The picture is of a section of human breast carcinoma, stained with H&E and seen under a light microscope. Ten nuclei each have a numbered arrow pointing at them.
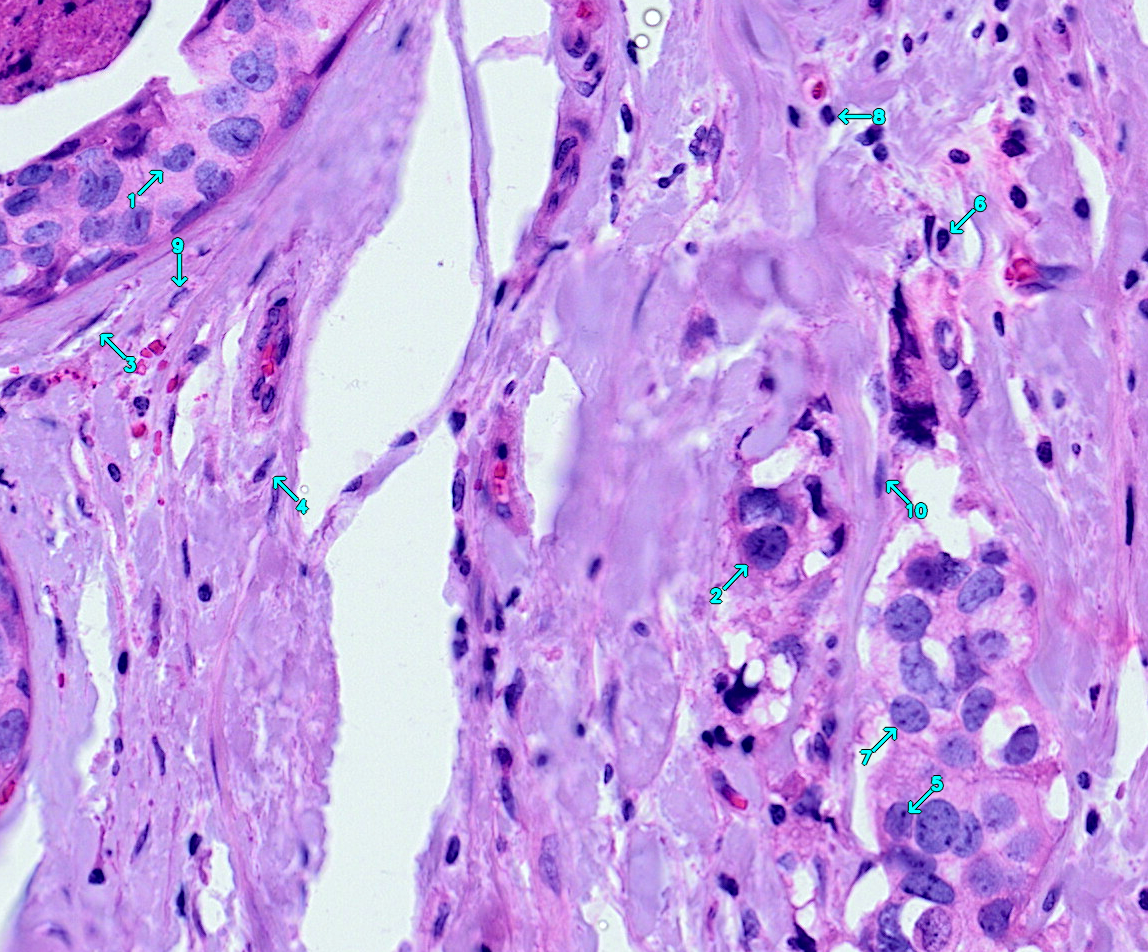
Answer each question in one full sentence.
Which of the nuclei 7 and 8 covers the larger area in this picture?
Nucleus 7 is larger, with an area about 4 times that of nucleus 8.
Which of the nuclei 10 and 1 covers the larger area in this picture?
Nucleus 1 is larger, with an area about 3 times that of nucleus 10.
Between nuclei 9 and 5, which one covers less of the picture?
Nucleus 9 is the smaller one; nucleus 5 covers about 3 times its area.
